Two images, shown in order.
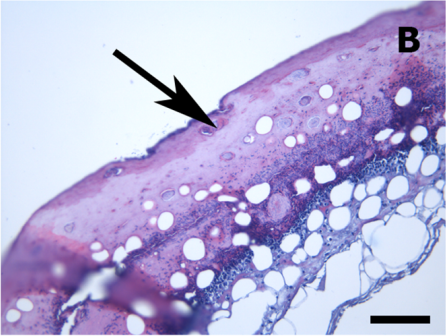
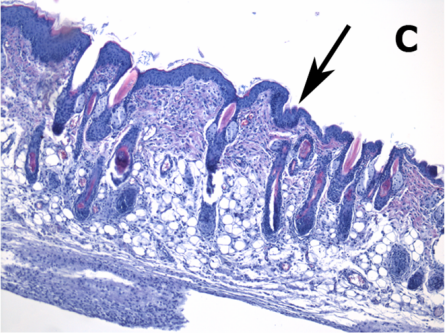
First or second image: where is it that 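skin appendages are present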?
the second image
